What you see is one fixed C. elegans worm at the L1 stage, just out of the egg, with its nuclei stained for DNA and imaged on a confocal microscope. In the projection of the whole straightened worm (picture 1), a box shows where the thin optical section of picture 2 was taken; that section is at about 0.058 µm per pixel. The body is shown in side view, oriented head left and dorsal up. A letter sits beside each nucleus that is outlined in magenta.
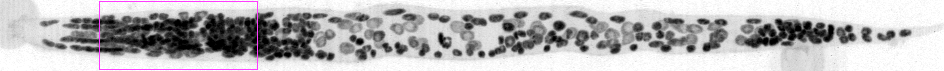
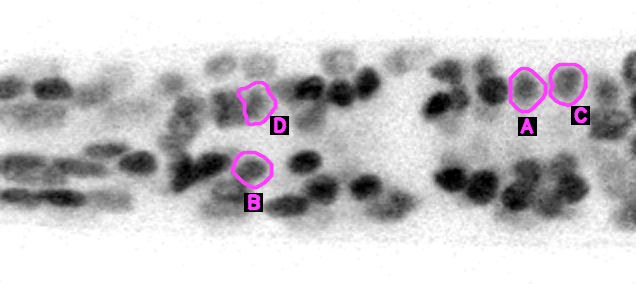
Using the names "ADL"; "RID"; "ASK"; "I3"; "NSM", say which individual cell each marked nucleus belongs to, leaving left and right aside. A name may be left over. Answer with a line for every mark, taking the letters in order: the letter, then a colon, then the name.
A: ASK
B: NSM
C: ADL
D: I3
